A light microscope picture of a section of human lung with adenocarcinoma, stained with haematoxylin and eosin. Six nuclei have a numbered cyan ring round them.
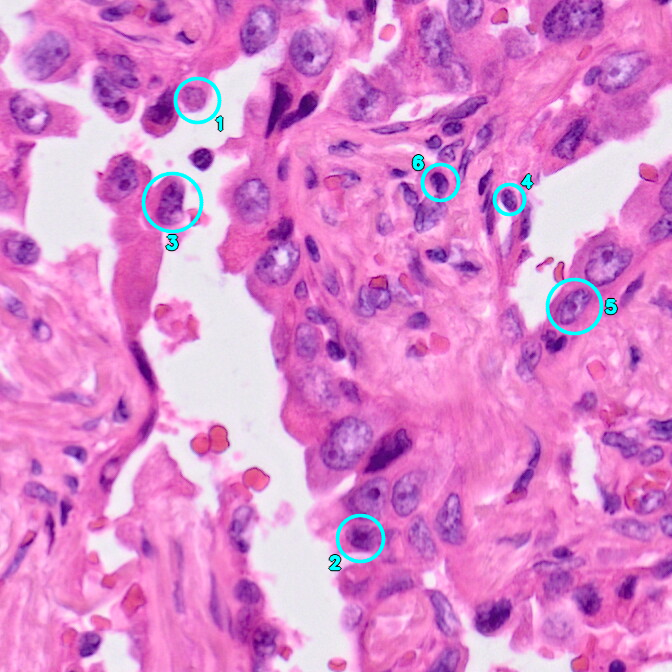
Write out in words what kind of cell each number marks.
Cell 1 is a carcinoma cell, cell 2 is a carcinoma cell, cell 3 is a carcinoma cell, cell 4 is a lymphocyte, cell 5 is a carcinoma cell and cell 6 is a plasma cell.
